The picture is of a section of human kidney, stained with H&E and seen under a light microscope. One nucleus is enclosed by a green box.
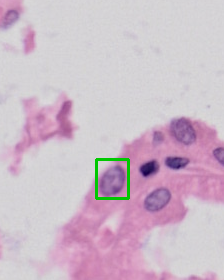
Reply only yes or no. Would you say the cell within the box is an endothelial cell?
no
